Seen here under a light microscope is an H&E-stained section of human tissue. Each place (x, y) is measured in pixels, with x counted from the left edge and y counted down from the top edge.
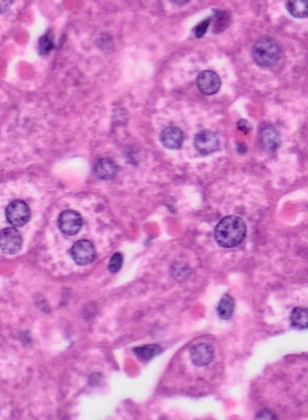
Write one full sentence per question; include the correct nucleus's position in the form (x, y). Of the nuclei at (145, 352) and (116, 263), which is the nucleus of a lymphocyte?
Only the nucleus at (116, 263), of the two, belongs to a lymphocyte.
